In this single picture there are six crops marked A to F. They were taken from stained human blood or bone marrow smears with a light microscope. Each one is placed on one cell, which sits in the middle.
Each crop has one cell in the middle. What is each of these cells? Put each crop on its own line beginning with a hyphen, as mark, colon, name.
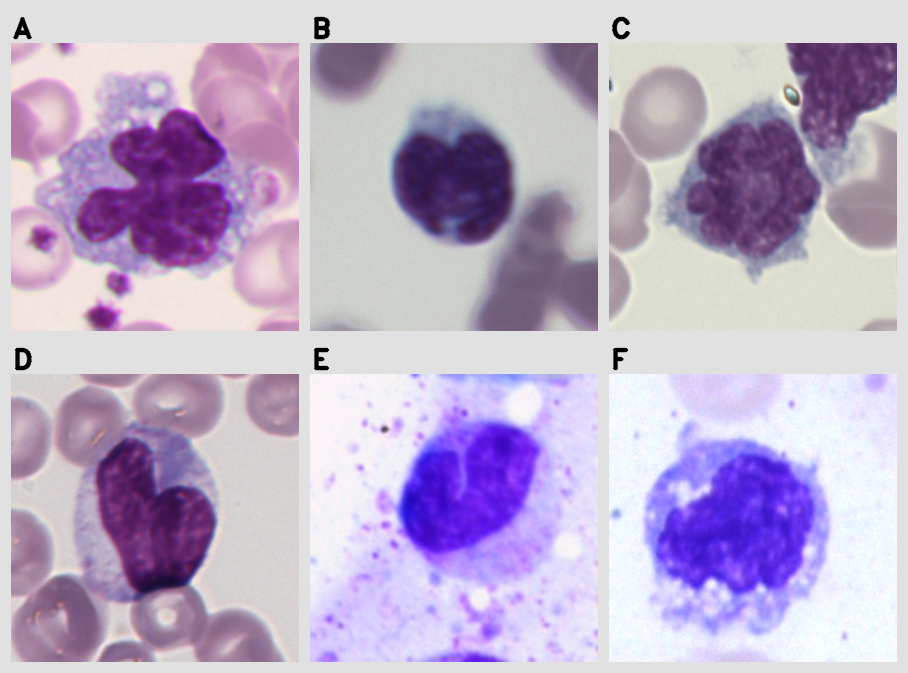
- A: monocyte
- B: monocyte
- C: monocyte
- D: band neutrophil
- E: band neutrophil
- F: monocyte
